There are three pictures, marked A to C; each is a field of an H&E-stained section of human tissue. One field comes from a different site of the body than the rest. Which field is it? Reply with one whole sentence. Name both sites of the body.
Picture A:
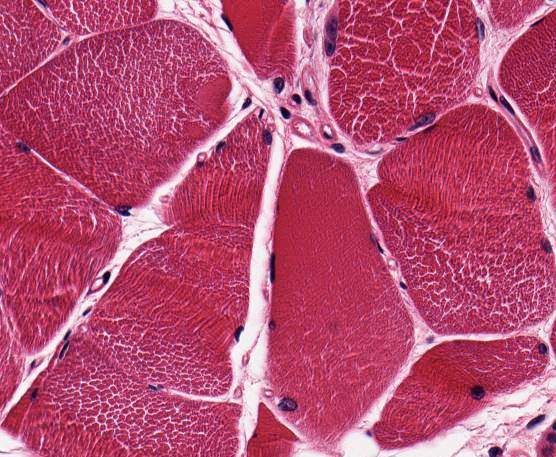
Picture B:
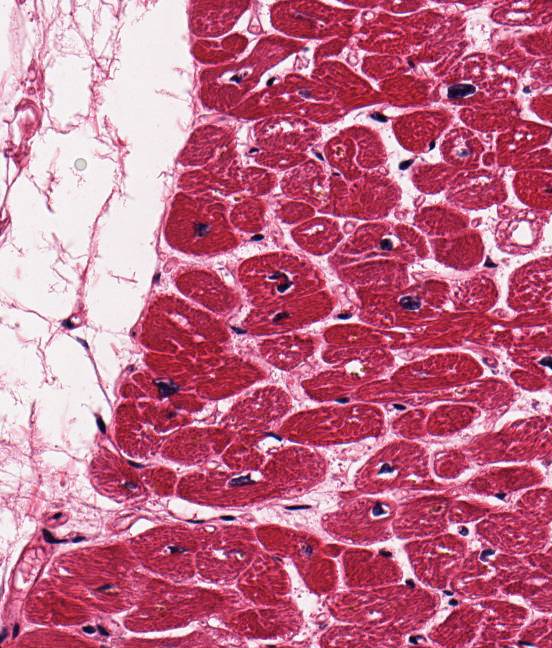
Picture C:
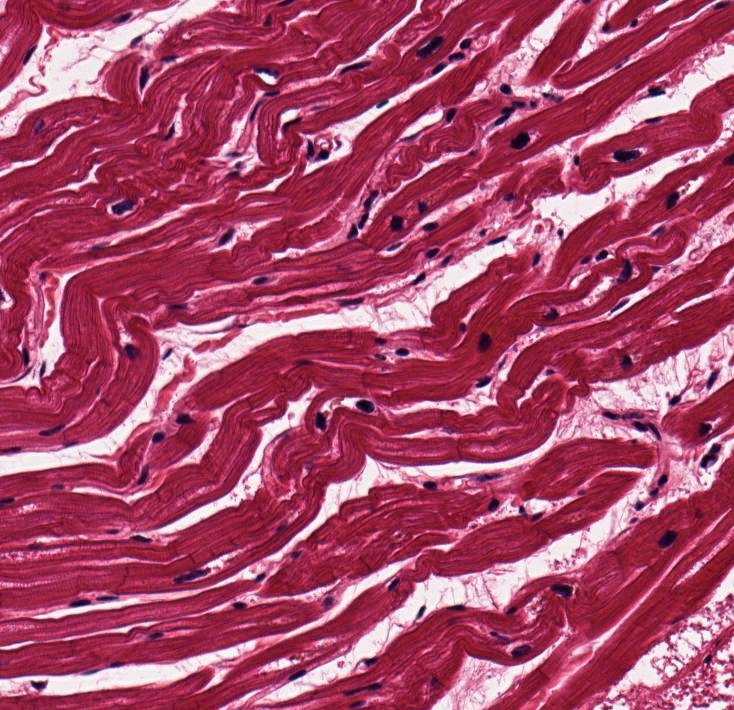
Unlike the rest, which come from the left ventricle of the heart, picture A comes from skeletal muscle.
